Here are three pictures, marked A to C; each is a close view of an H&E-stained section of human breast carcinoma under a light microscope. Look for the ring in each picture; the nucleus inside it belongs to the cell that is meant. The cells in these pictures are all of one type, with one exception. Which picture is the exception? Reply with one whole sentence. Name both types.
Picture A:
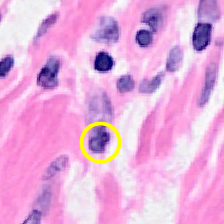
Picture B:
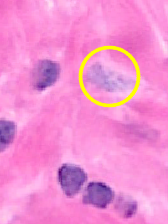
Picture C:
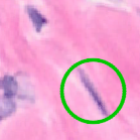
The others show fibroblasts, but picture A shows a lymphocyte.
